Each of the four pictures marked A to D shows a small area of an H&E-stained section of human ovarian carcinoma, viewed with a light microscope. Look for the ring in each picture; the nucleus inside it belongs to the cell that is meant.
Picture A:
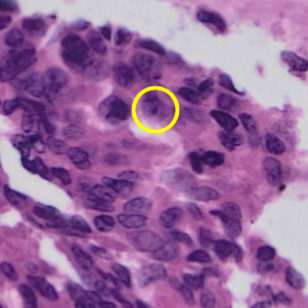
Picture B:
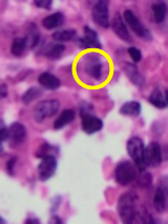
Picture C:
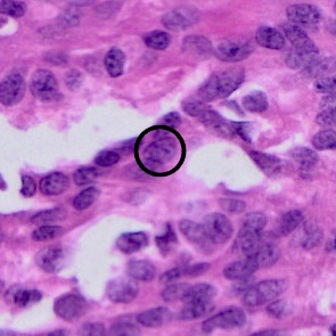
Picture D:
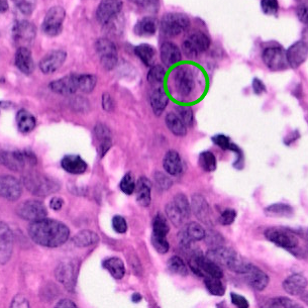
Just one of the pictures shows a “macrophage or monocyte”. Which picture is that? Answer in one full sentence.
Picture B is the one that shows the “macrophage or monocyte”.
